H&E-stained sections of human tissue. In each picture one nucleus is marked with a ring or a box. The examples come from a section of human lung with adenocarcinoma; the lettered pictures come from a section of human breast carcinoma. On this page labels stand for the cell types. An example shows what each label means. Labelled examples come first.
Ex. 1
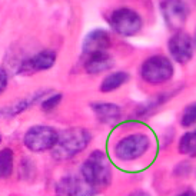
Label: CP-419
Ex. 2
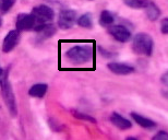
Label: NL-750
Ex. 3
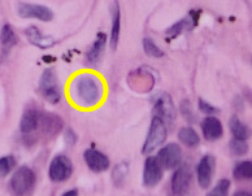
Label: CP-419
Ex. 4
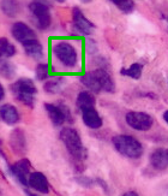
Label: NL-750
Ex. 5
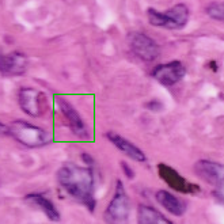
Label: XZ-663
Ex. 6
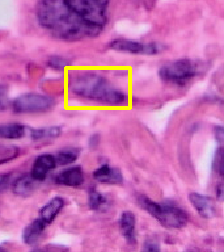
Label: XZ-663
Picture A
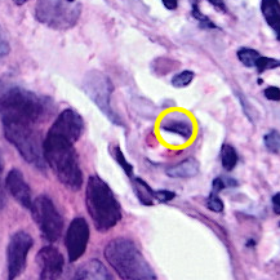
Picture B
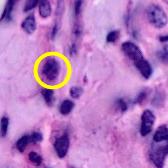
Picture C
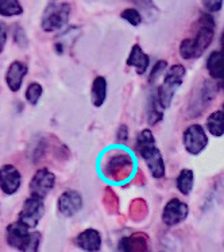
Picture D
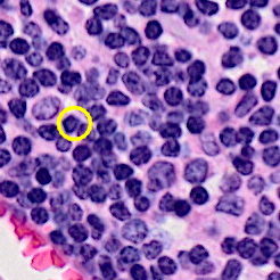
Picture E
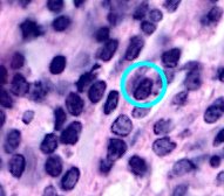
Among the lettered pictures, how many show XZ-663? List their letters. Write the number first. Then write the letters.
Count: 2 (A, C)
